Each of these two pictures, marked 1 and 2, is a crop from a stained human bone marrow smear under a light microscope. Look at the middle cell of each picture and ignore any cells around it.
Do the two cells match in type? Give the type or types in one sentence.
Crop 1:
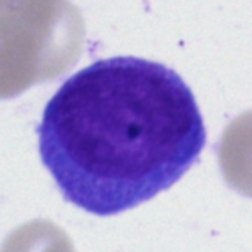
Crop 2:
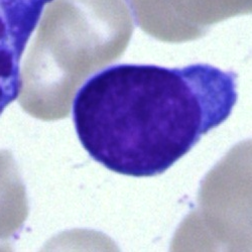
Yes, it is blasts that both crops show.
